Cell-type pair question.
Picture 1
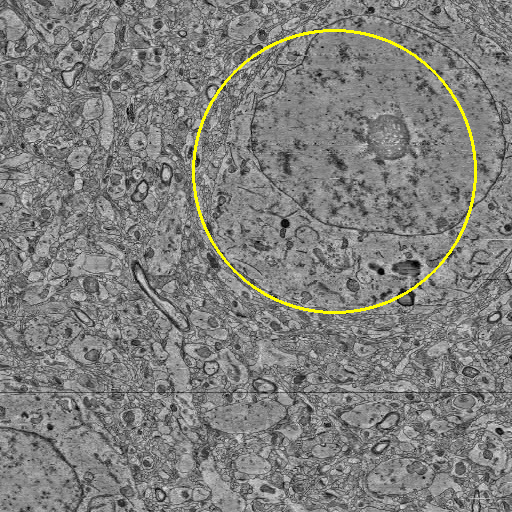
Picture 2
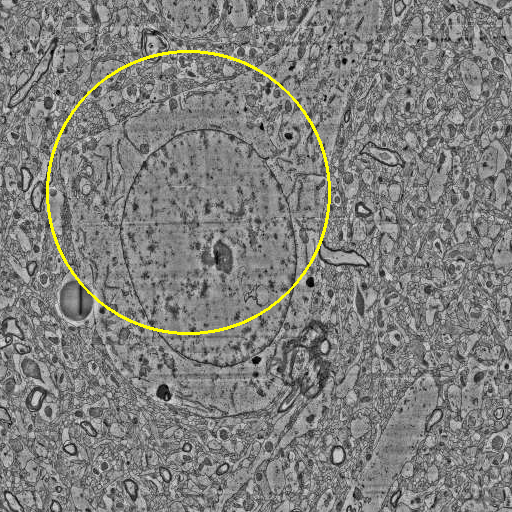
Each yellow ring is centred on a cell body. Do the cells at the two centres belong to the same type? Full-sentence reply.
Yes, the two cells belong to the same type.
